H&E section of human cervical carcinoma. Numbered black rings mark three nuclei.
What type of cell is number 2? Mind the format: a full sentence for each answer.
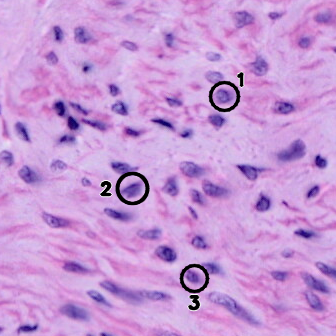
Classified as a fibroblast is the cell with the number 2.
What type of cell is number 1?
Here the cell numbered 1 is a smooth muscle cell.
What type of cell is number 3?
Number 3 is placed on a smooth muscle cell here.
